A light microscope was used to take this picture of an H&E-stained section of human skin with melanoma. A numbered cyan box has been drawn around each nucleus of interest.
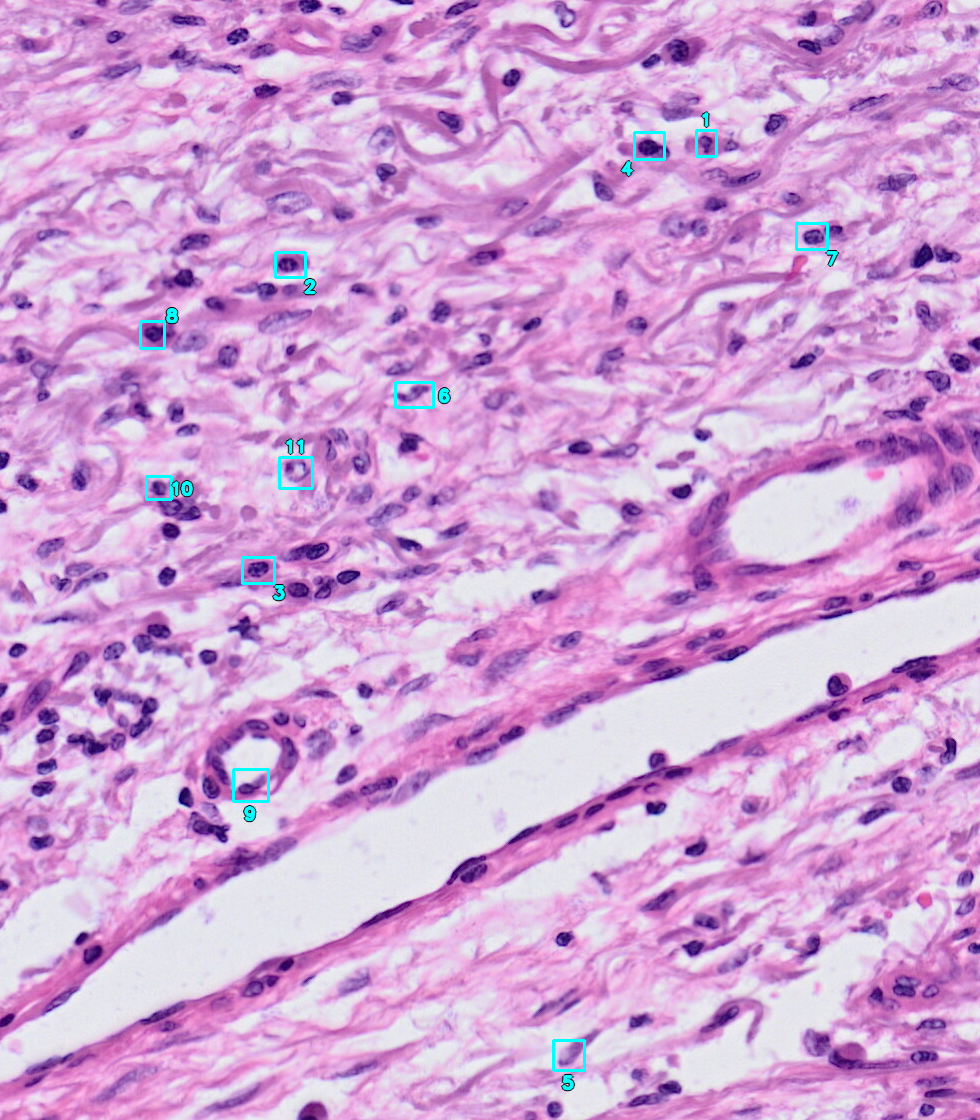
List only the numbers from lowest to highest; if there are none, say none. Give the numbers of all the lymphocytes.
7, 10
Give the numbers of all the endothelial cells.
9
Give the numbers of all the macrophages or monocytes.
1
